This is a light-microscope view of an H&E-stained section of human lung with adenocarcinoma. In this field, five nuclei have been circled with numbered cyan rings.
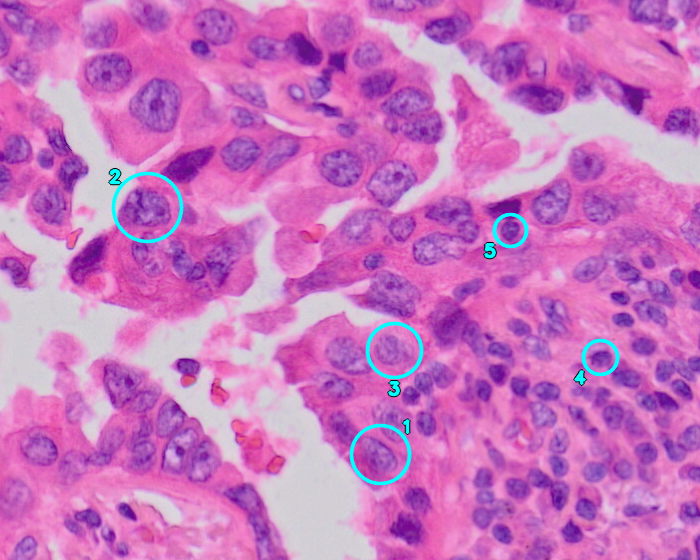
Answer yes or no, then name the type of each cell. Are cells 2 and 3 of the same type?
Yes, both cells, 2 and 3, are carcinoma cells.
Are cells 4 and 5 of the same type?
Yes, lymphocytes are what cells 4 and 5 both are.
